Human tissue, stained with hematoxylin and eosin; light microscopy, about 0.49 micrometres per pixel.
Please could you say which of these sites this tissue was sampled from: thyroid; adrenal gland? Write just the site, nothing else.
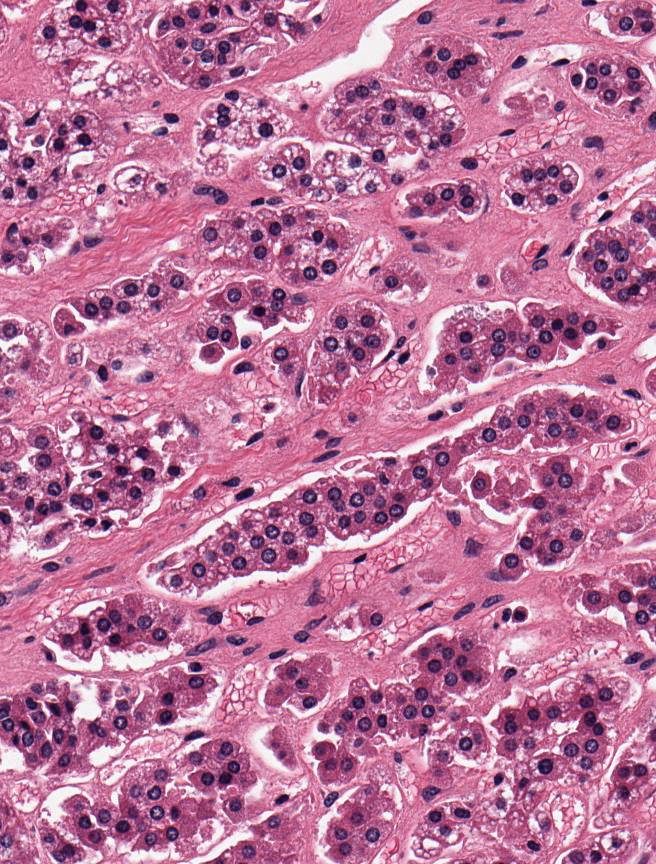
adrenal gland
